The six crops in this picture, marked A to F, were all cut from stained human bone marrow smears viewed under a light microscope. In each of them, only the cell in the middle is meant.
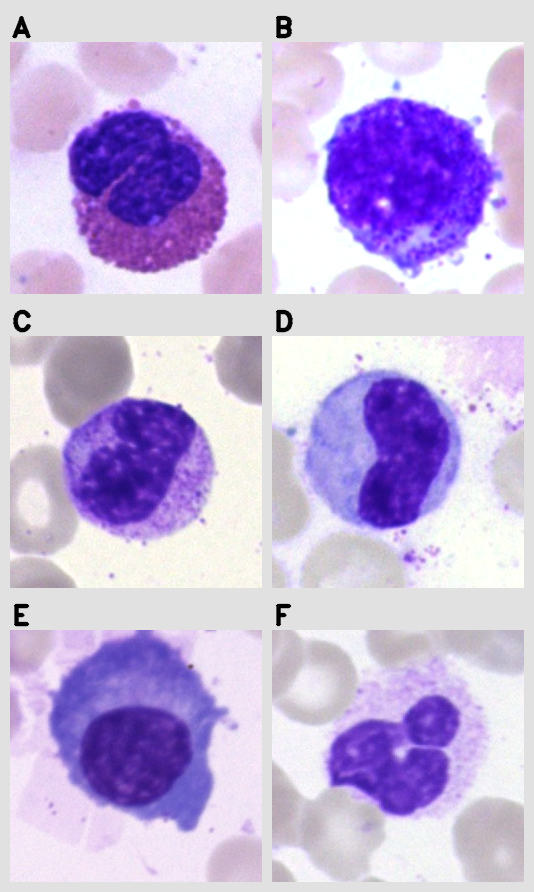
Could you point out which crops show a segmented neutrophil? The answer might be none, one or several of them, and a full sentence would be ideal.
Crop F shows a segmented neutrophil, and none of the other crops does.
